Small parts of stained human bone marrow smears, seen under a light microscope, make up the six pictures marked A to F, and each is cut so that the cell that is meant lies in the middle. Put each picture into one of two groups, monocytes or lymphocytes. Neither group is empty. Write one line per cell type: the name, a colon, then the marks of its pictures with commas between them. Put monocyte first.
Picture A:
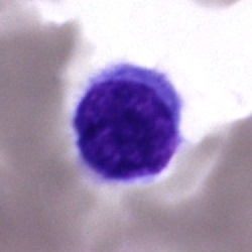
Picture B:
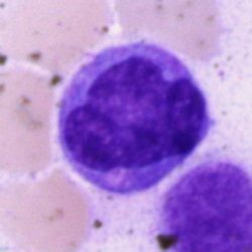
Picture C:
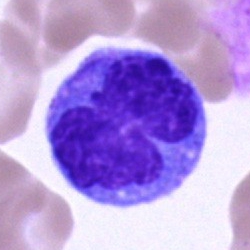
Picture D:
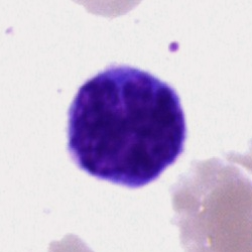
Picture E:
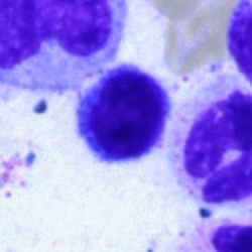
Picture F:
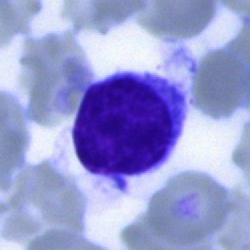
monocyte: B, C
lymphocyte: A, D, E, F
